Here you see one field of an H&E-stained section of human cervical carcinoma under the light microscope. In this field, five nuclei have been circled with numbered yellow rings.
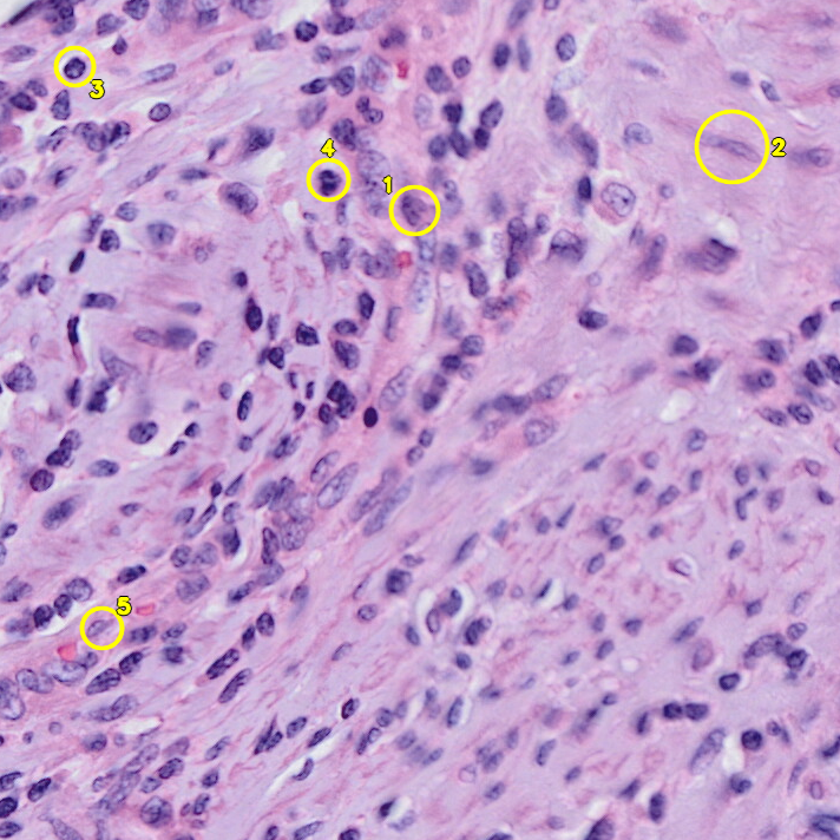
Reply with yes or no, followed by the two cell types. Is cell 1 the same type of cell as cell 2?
No, while cell 1 is an endothelial cell, cell 2 is a smooth muscle cell.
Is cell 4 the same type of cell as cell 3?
Yes, cells 4 and 3 are both to be classed as lymphocytes.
